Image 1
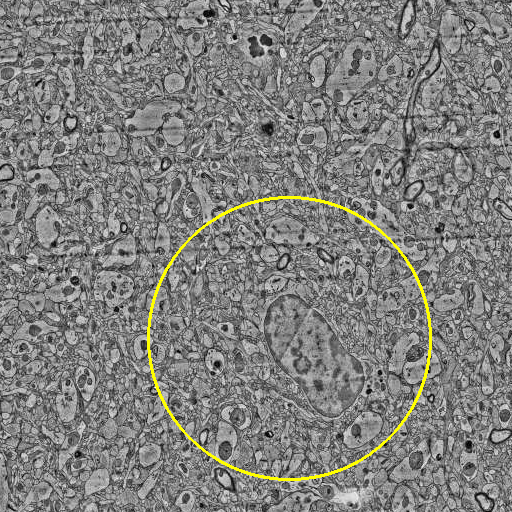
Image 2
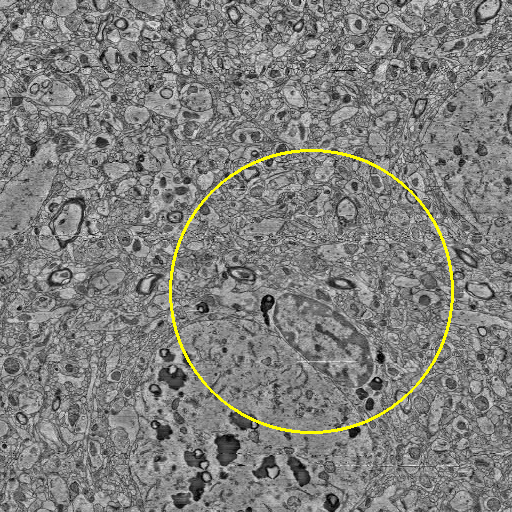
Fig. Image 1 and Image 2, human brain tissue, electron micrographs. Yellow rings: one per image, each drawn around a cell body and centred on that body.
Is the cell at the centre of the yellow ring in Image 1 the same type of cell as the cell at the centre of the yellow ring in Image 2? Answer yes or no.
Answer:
yes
